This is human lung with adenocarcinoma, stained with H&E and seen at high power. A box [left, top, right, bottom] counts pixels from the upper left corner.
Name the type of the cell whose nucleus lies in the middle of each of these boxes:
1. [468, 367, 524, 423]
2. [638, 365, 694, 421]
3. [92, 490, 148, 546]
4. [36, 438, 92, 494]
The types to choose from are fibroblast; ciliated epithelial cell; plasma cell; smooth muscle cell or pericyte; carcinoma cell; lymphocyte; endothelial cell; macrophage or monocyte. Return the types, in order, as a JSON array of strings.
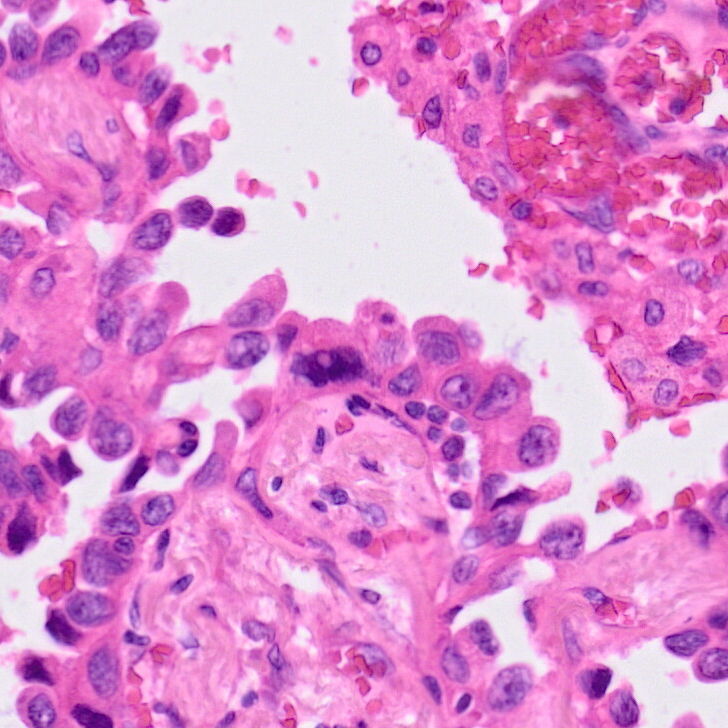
["carcinoma cell", "macrophage or monocyte", "carcinoma cell", "carcinoma cell"]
